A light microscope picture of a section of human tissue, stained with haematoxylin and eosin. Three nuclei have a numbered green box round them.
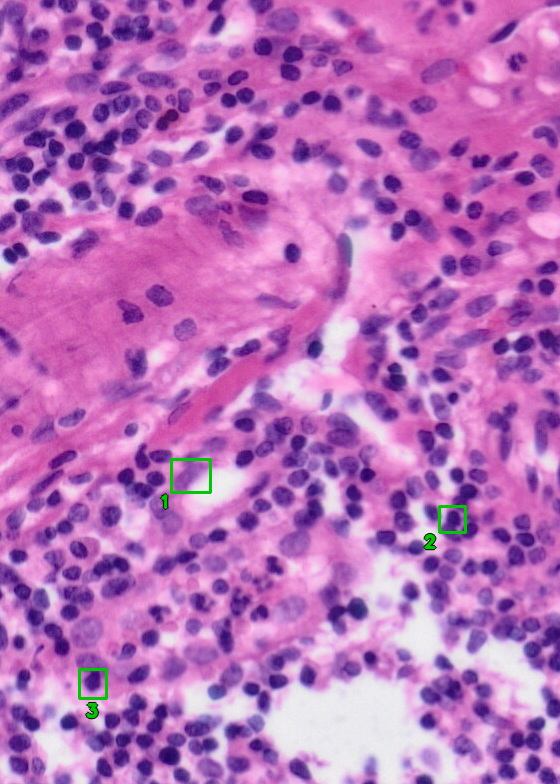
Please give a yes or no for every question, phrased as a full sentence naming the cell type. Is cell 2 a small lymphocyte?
Yes, exactly, the cell numbered 2 is a small lymphocyte.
